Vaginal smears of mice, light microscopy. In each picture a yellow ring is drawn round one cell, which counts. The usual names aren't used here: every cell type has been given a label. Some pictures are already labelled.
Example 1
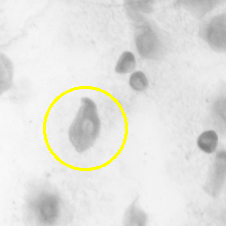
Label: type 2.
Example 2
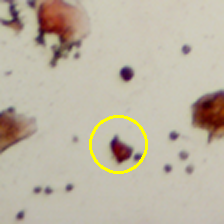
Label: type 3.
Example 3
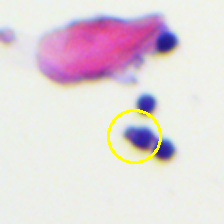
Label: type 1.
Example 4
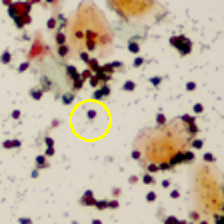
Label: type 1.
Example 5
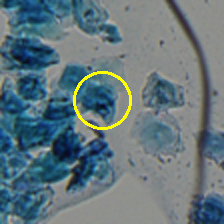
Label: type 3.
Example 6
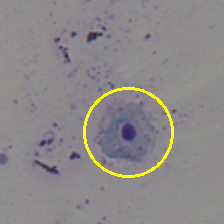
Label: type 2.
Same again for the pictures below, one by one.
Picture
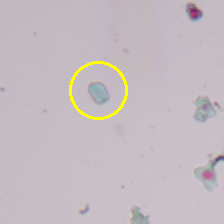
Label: type 3.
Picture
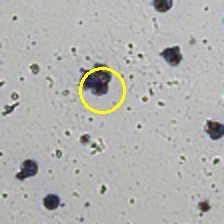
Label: type 1.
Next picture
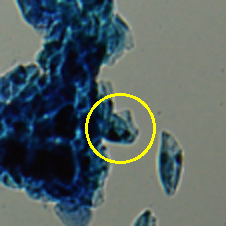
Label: type 3.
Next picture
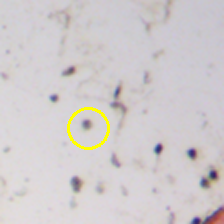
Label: type 1.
